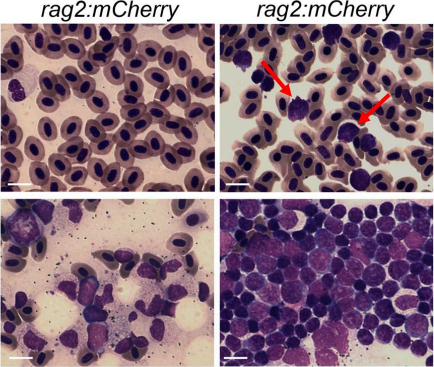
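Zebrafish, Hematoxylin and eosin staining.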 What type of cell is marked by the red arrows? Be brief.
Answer: Circulating blast cells.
